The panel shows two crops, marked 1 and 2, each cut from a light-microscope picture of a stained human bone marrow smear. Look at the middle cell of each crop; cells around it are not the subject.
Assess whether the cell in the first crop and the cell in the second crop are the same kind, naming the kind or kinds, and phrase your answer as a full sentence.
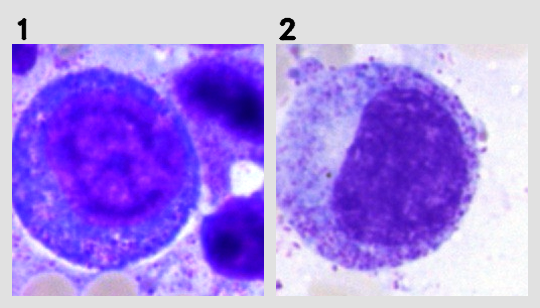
Yes, the cells in the centres of the two crops are promyelocytes.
